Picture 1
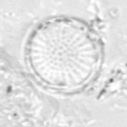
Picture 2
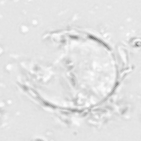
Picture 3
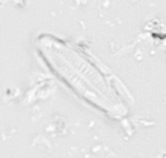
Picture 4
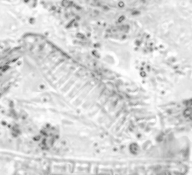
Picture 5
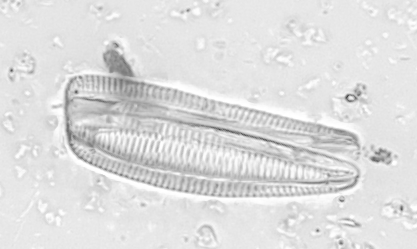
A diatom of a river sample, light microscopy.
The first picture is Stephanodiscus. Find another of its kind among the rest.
Picture 2.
